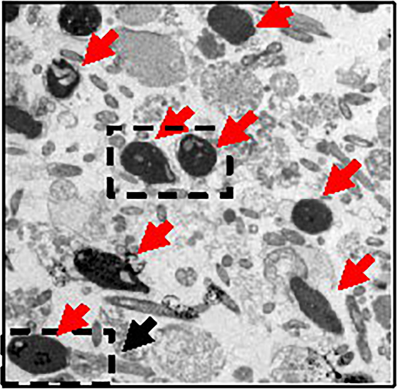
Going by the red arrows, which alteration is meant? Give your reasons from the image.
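The red arrows point to electron-dense heads that are round, pear-shaped or irregular. Several heads contain pale vacuole-like spaces.
Answer: severely malformed head shapes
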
